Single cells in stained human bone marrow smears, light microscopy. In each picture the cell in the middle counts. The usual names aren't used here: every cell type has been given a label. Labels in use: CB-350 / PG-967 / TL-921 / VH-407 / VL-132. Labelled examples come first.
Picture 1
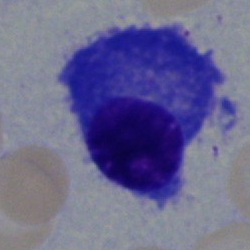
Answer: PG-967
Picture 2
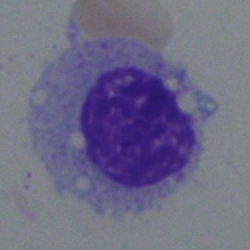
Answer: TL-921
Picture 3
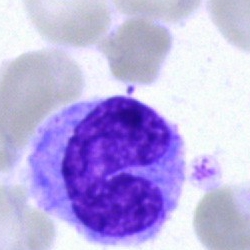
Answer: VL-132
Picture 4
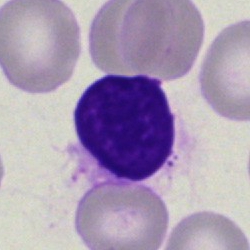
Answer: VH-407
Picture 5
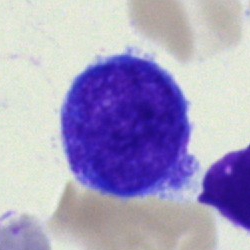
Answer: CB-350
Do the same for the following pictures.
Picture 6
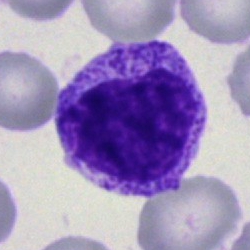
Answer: TL-921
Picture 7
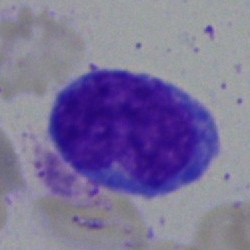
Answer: CB-350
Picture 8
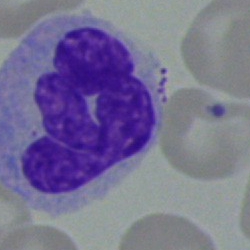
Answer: VL-132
